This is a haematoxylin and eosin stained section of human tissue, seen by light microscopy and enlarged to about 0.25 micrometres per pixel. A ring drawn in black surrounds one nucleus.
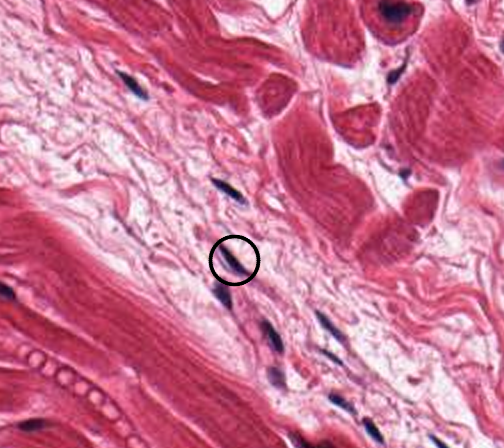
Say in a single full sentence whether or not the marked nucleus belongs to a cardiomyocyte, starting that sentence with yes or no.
No, instead of being part of a cardiomyocyte, the marked nucleus is part of a supporting cell.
